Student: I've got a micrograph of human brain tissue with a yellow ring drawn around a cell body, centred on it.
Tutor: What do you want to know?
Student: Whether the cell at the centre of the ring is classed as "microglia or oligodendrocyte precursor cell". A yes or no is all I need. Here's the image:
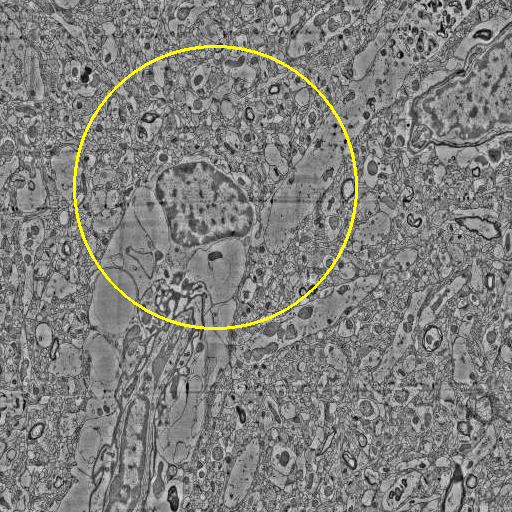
yes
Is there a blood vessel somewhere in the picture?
Yes, there is a blood vessel in the image.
